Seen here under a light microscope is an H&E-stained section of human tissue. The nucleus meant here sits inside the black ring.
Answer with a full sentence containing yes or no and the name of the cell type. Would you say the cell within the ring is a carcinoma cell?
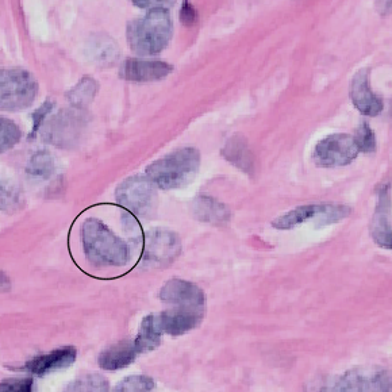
Yes, the cell within the ring counts as a carcinoma cell in this tissue.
